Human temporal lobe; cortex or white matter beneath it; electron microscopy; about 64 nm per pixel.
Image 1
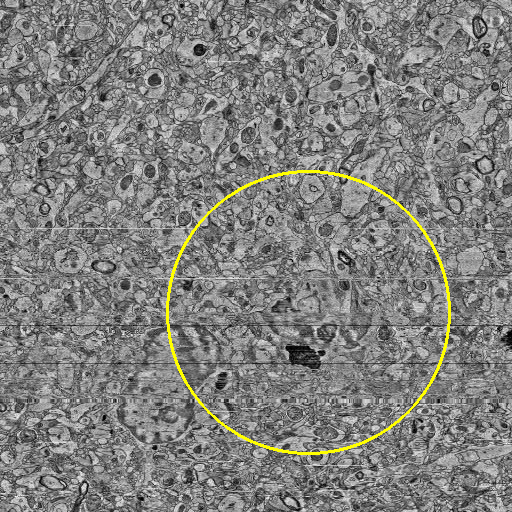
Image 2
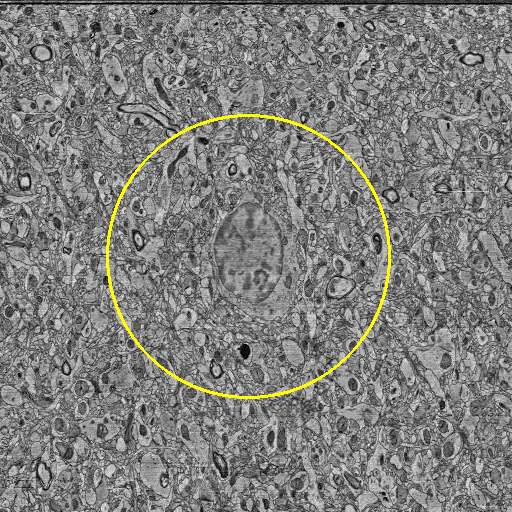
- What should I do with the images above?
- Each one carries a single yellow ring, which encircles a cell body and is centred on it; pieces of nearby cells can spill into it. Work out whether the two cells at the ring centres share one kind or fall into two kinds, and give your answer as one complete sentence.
The ring-centre cells of Image 1 and Image 2 share one kind.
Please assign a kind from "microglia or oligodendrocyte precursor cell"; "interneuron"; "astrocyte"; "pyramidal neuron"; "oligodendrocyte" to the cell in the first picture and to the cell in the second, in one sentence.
The ring centre holds an oligodendrocyte in each of the two pictures.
